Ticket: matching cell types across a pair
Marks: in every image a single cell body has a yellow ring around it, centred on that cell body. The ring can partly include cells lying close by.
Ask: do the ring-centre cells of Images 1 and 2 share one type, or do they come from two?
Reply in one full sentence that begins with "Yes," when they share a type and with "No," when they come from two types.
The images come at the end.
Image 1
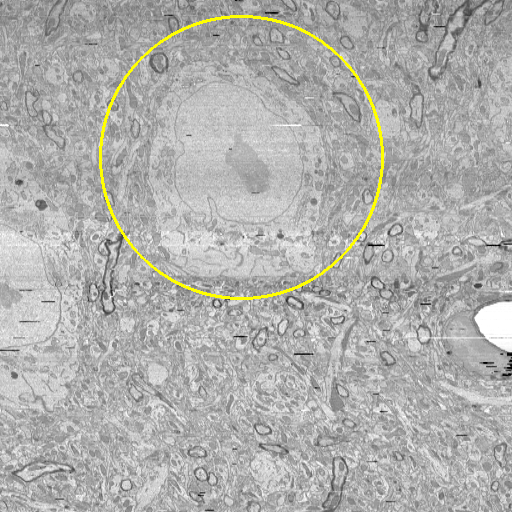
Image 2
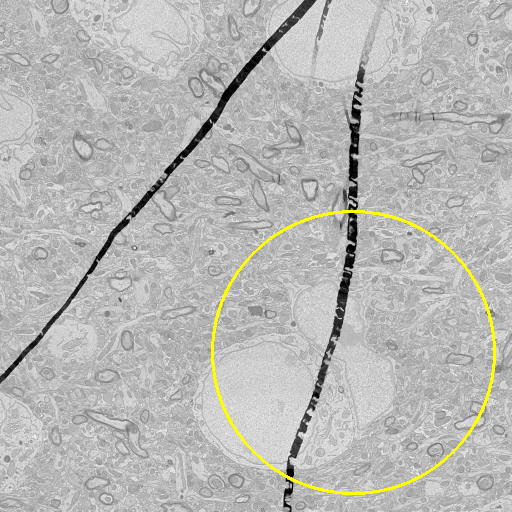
No, the cells in the centres of the rings in Image 1 and Image 2 come from two types.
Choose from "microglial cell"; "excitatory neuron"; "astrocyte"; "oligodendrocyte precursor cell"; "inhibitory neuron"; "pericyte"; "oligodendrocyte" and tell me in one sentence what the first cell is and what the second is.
What the first ring is centred on is an excitatory neuron; what the second ring is centred on is an oligodendrocyte precursor cell.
